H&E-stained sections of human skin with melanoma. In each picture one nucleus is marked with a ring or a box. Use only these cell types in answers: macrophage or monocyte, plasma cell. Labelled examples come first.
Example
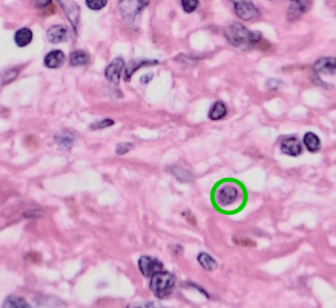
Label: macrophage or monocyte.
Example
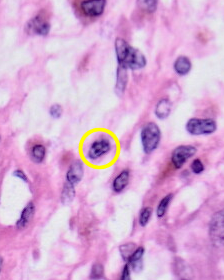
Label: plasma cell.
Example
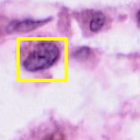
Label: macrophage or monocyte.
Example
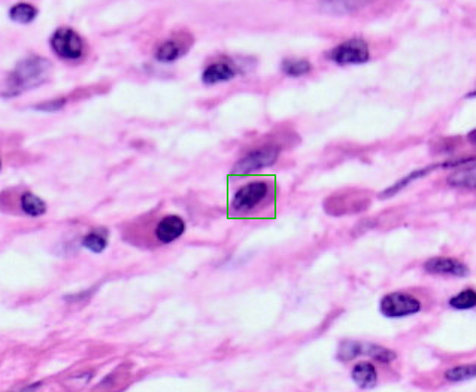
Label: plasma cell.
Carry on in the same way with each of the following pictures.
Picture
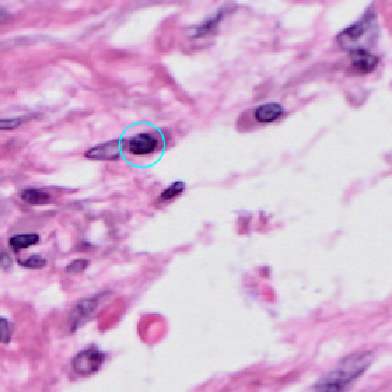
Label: plasma cell.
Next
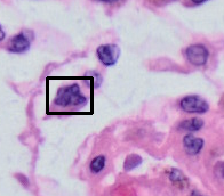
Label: macrophage or monocyte.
